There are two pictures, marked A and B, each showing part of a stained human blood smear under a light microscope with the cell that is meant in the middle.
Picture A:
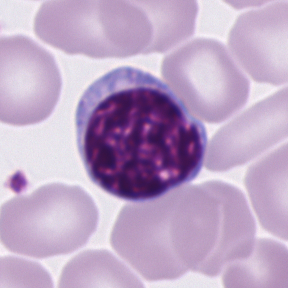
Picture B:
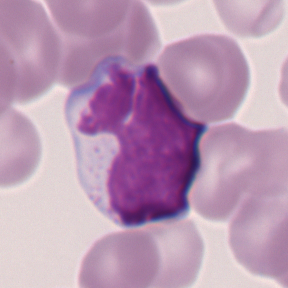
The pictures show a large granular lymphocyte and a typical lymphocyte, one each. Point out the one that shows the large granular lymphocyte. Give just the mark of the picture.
B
